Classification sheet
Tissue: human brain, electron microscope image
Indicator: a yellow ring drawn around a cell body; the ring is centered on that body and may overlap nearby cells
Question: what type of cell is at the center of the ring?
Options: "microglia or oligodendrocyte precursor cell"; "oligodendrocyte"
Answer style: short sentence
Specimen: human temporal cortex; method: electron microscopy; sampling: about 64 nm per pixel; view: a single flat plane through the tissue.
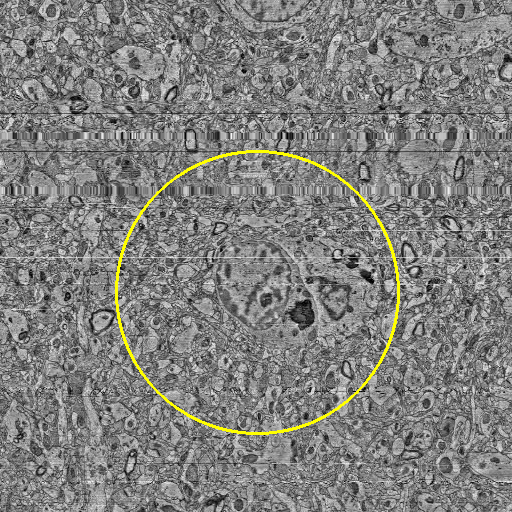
At the ring's center is an oligodendrocyte.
